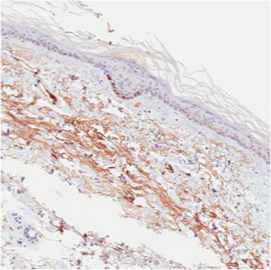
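Along the top runs a thin stratified squamous epidermis, its blue nuclei crowded in a few layers beneath loose, flaky keratin. Below it lies the dermis, a connective tissue of wavy fibres with scattered small blue nuclei. A broad band of these fibres in the middle dermis is stained brown, the brown following the strand-like fibres themselves rather than any cell. A few darker brown short linear profiles sit among them. Toward the bottom left the tissue is split by a clear gap. This is skin, with the brown deposited along dermal collagen strands.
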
